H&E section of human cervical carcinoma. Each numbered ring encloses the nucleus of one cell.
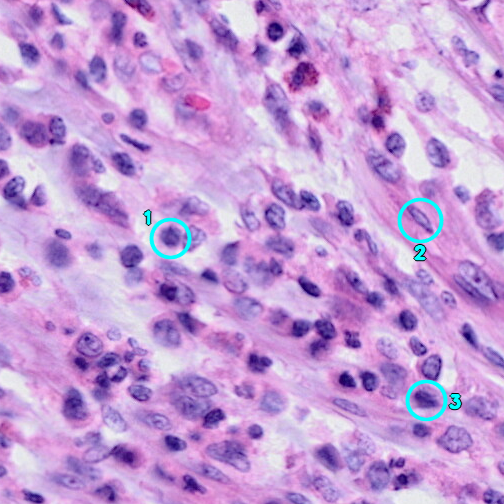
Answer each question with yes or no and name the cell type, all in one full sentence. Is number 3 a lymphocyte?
Yes, and to answer plainly, cell 3 is a lymphocyte.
